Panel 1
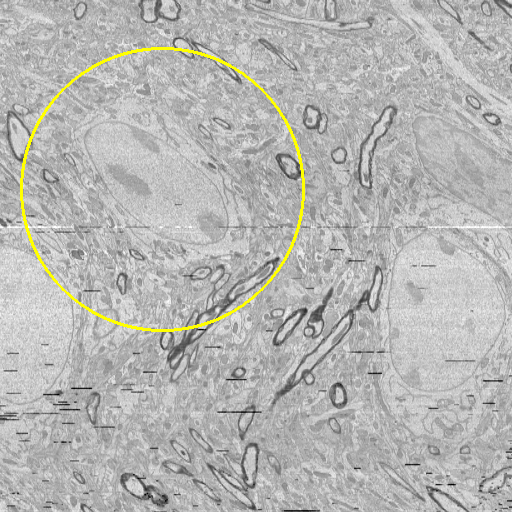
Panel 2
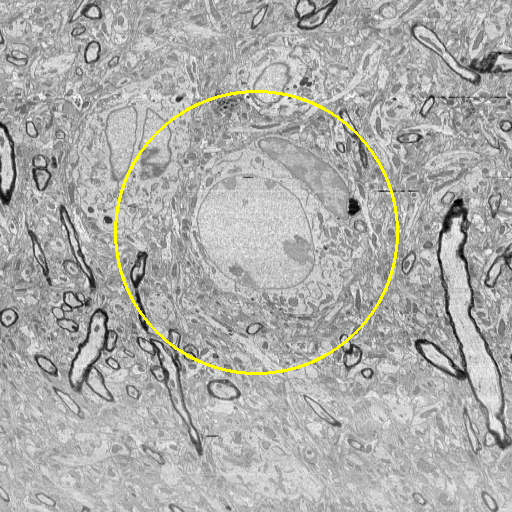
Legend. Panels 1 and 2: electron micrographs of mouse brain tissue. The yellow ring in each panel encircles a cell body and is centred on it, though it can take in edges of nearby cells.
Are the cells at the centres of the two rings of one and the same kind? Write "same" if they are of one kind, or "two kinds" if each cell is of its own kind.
same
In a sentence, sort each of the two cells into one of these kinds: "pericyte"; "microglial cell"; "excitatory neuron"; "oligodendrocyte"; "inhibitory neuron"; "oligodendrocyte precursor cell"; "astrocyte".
Each of the ringed cells, first and second, is an excitatory neuron.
